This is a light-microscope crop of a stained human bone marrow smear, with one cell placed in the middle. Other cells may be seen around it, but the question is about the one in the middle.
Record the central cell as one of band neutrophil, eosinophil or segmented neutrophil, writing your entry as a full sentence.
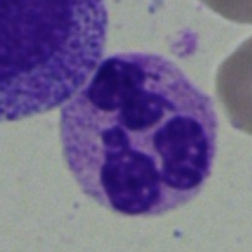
At the crop's centre, the cell is a segmented neutrophil.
